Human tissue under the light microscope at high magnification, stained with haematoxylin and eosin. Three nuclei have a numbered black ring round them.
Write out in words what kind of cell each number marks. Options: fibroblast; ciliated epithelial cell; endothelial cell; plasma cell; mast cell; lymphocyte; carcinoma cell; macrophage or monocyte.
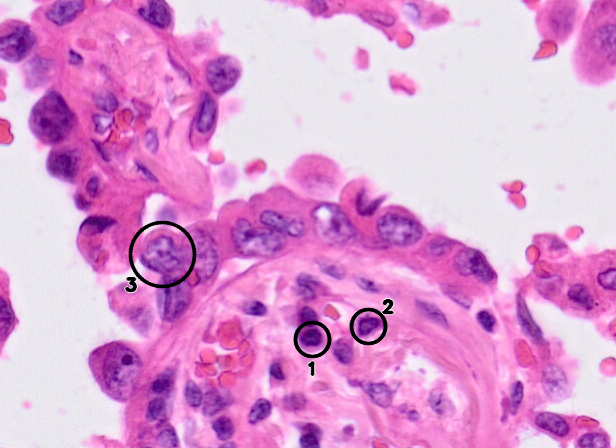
Cells 1 and 2 are plasma cells. Cell 3 is a carcinoma cell.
